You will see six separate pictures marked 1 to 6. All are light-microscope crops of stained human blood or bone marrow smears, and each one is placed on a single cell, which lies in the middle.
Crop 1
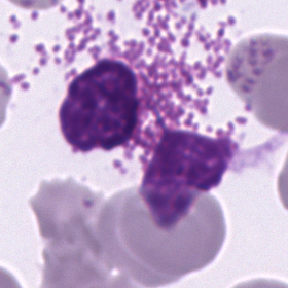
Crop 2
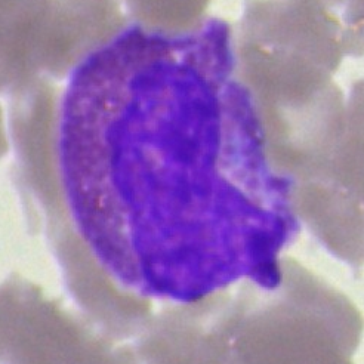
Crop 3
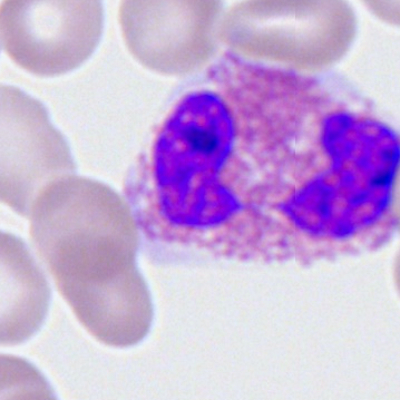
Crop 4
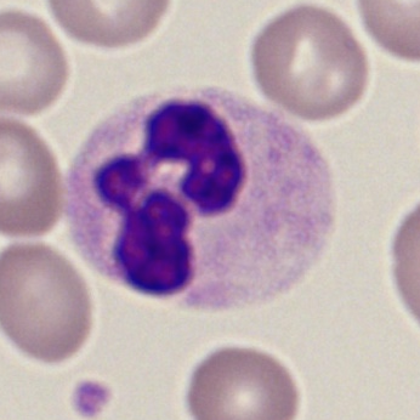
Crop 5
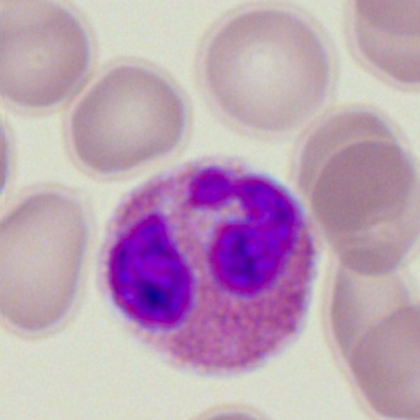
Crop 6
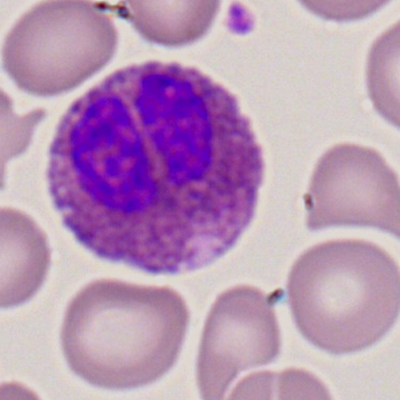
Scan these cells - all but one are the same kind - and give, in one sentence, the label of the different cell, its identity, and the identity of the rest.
Of all the crops, only crop 4 shows a neutrophil; the others show eosinophils.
